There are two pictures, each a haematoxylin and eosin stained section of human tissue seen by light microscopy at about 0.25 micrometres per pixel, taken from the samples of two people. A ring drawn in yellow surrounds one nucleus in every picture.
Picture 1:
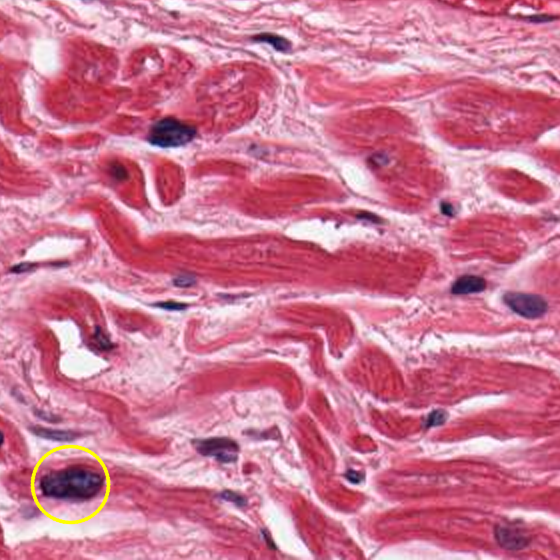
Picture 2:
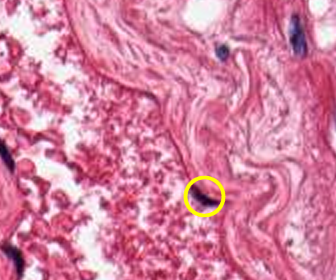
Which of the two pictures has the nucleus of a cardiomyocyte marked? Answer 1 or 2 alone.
1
